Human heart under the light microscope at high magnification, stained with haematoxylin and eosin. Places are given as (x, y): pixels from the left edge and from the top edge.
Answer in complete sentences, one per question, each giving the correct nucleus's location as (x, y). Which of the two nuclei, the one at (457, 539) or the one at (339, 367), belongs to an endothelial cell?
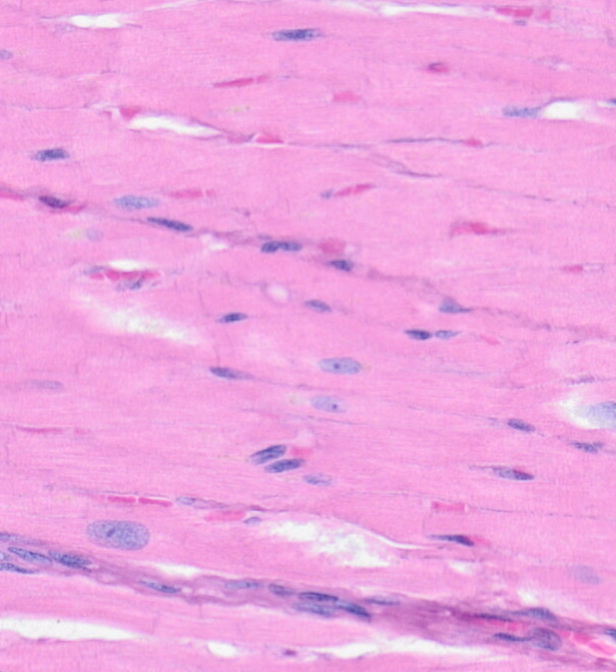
The nucleus at (457, 539), rather than the other, belongs to an endothelial cell.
